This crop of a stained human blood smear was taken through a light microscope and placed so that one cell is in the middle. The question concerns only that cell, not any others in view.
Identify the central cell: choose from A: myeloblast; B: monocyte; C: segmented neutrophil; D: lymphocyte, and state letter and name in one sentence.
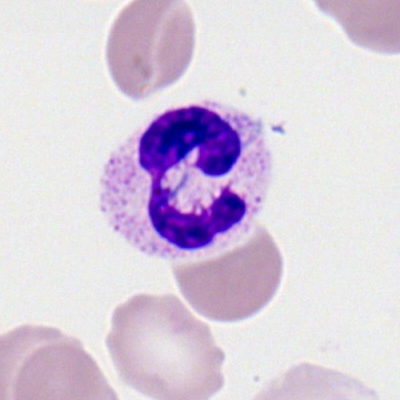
The best answer is option C, since the cell in the middle is a segmented neutrophil.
